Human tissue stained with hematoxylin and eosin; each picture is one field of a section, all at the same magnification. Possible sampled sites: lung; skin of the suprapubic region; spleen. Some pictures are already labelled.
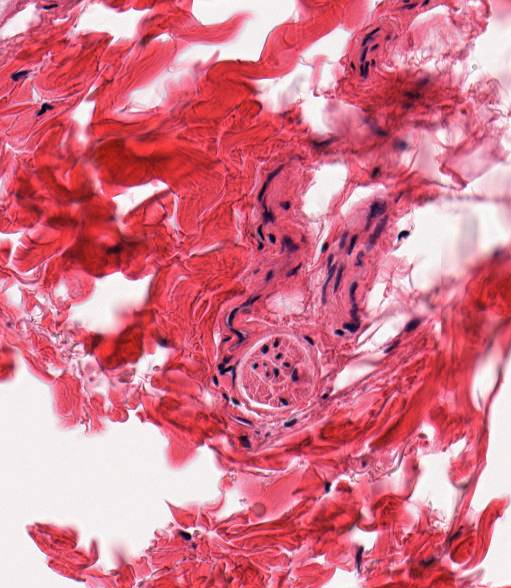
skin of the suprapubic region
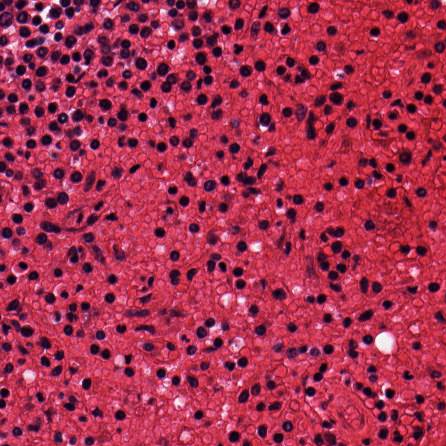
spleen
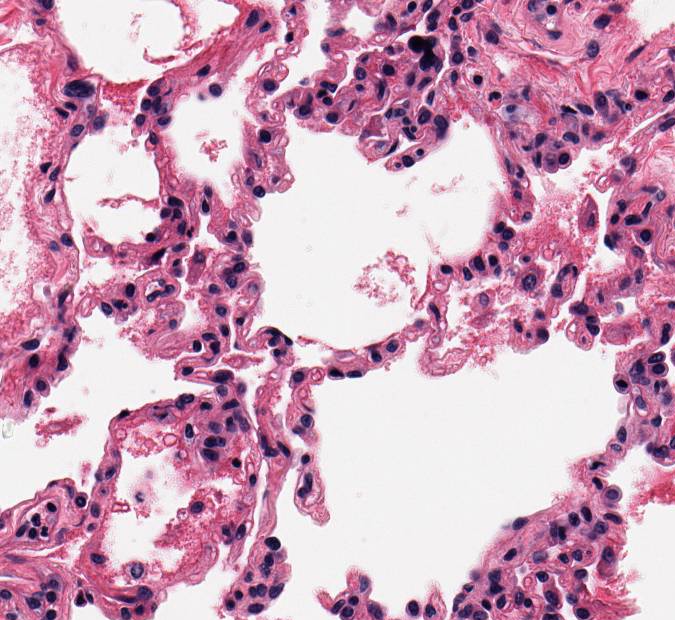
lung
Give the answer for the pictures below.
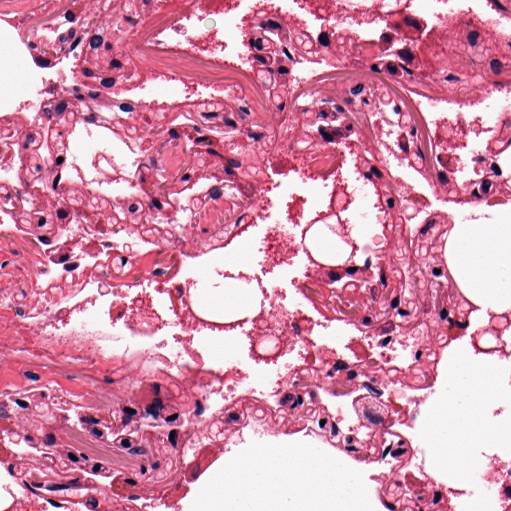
lung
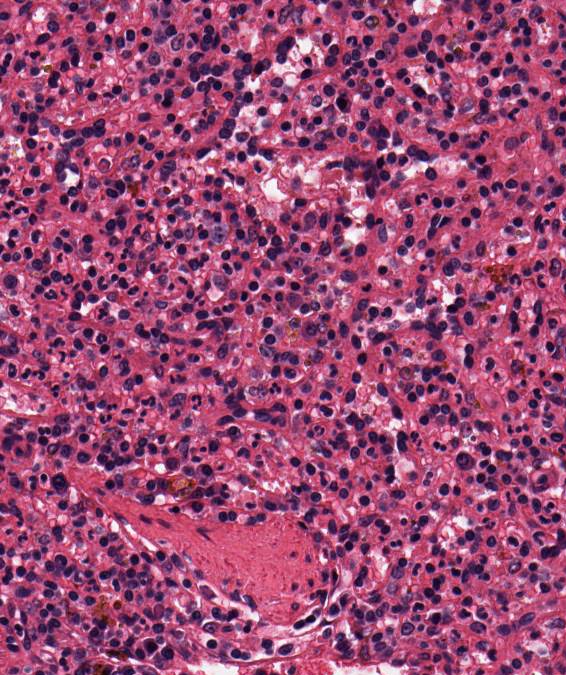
spleen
